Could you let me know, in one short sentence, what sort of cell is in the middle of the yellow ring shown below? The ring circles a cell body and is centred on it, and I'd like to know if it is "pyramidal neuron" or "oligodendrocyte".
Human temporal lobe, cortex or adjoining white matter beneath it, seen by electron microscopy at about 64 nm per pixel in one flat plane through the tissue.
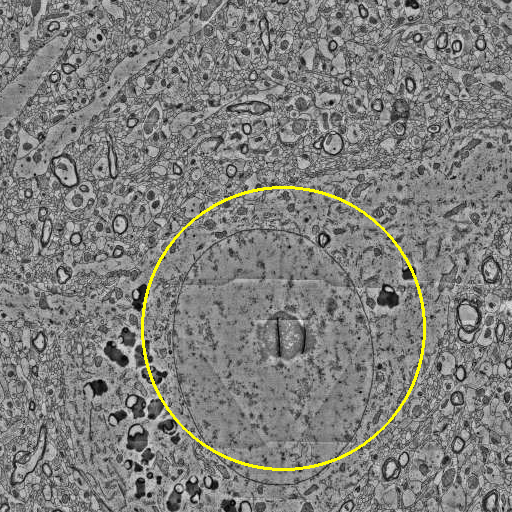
The ring circles the cell body of a pyramidal neuron.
